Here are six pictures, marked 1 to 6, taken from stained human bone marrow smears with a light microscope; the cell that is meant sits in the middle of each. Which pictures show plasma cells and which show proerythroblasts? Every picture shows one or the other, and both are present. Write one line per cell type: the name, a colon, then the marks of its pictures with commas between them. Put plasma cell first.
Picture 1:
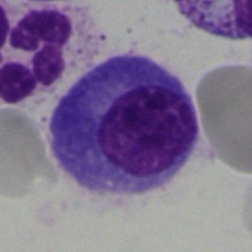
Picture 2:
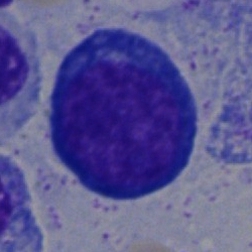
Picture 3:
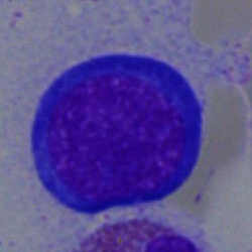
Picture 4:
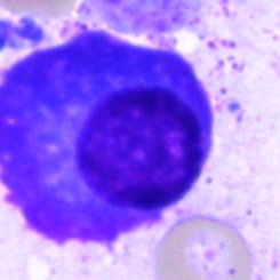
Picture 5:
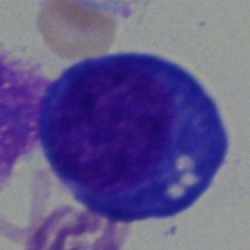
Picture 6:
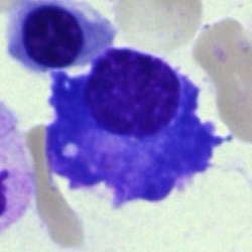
plasma cell: 1, 4, 6
proerythroblast: 2, 3, 5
